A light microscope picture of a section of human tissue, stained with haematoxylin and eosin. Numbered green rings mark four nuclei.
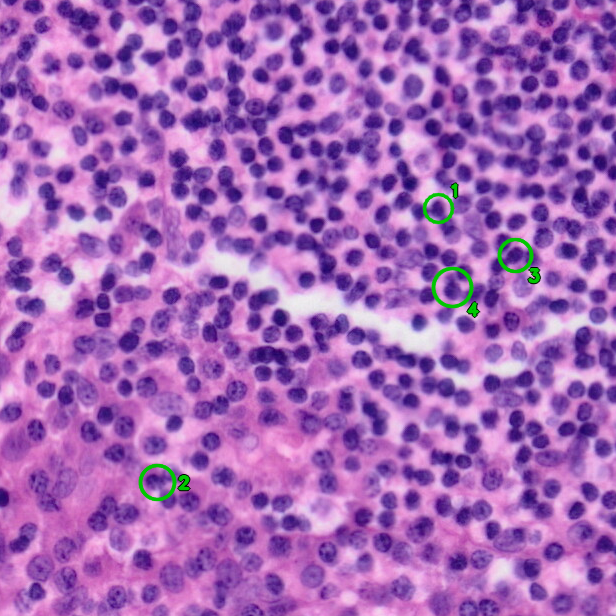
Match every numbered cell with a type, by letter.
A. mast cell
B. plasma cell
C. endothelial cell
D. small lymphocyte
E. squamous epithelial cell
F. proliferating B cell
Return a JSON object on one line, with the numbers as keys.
{"1": "D", "2": "B", "3": "D", "4": "D"}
